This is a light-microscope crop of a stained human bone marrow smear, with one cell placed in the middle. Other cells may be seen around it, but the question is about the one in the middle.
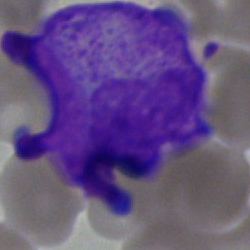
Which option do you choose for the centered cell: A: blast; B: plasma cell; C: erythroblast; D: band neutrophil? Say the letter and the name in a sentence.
Option A is correct, and the cell in the centre is a blast.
